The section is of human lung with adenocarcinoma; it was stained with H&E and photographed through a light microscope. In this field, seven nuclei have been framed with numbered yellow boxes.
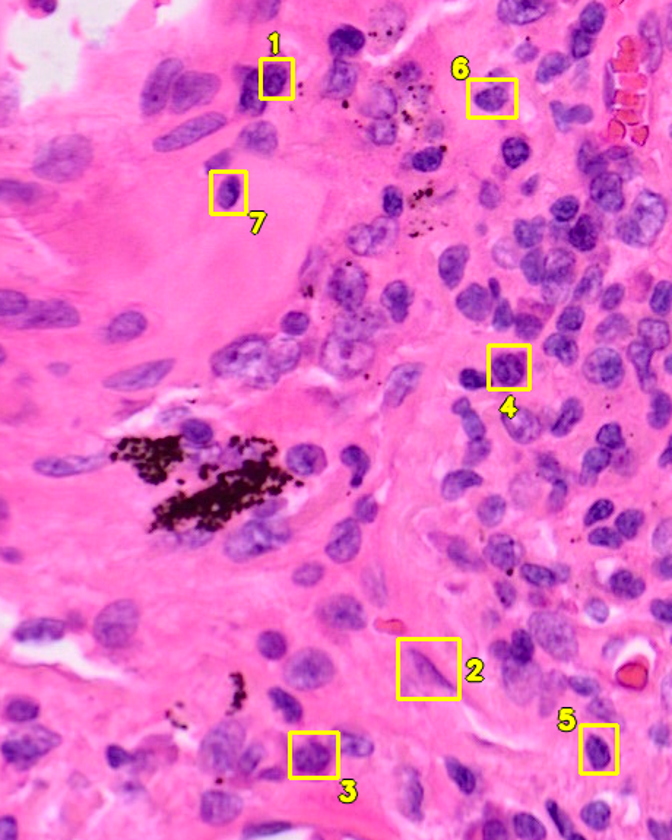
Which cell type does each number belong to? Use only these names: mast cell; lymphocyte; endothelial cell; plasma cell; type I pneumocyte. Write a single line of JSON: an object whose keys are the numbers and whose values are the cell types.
{"1": "plasma cell", "2": "endothelial cell", "3": "plasma cell", "4": "plasma cell", "5": "lymphocyte", "6": "lymphocyte", "7": "mast cell"}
